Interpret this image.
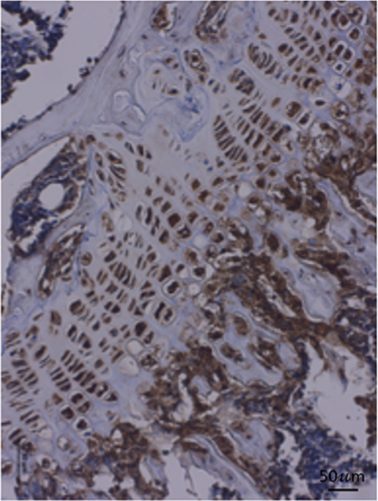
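This section shows growth plate cartilage and the adjoining bone, with chondrocytes stacked in columns within pale cartilage matrix. Most chondrocytes are intensely brown, each sitting in its own lacuna; toward the ends of the columns some cells are larger and paler. Adjacent to the cartilage, among bony trabeculae, many densely packed cells also stain strongly brown, forming irregular dark clusters. Marrow with small blue nucleated cells lies at the margins, and smooth pale bone borders the field. The strong brown colour throughout cartilage and bone region contrasts with the blue counterstain of marrow and matrix.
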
